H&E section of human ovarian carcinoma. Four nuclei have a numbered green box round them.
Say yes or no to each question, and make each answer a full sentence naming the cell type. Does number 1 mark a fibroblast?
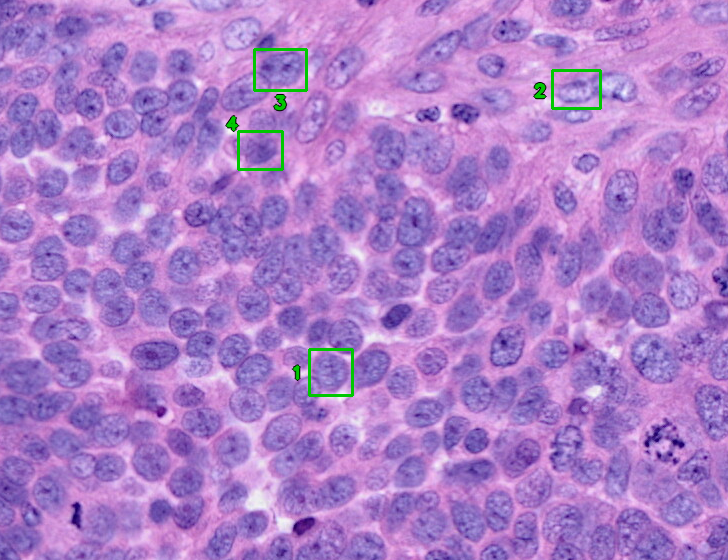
No, cell 1 is to be classed as a carcinoma cell, not a fibroblast.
